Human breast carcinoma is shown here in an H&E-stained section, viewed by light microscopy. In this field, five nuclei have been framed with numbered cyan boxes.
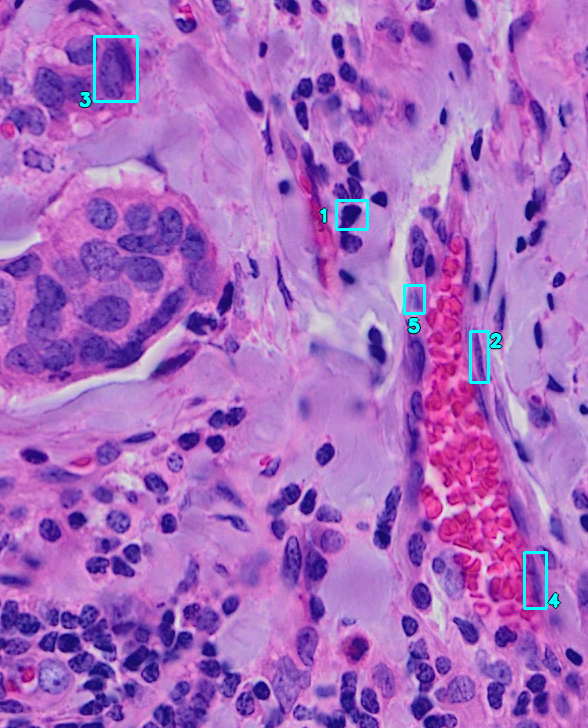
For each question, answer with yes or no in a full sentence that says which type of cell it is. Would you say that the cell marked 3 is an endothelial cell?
No, a carcinoma cell is what cell 3 is, not an endothelial cell.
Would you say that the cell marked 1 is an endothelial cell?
No, it is a lymphocyte that is marked with number 1, not an endothelial cell.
